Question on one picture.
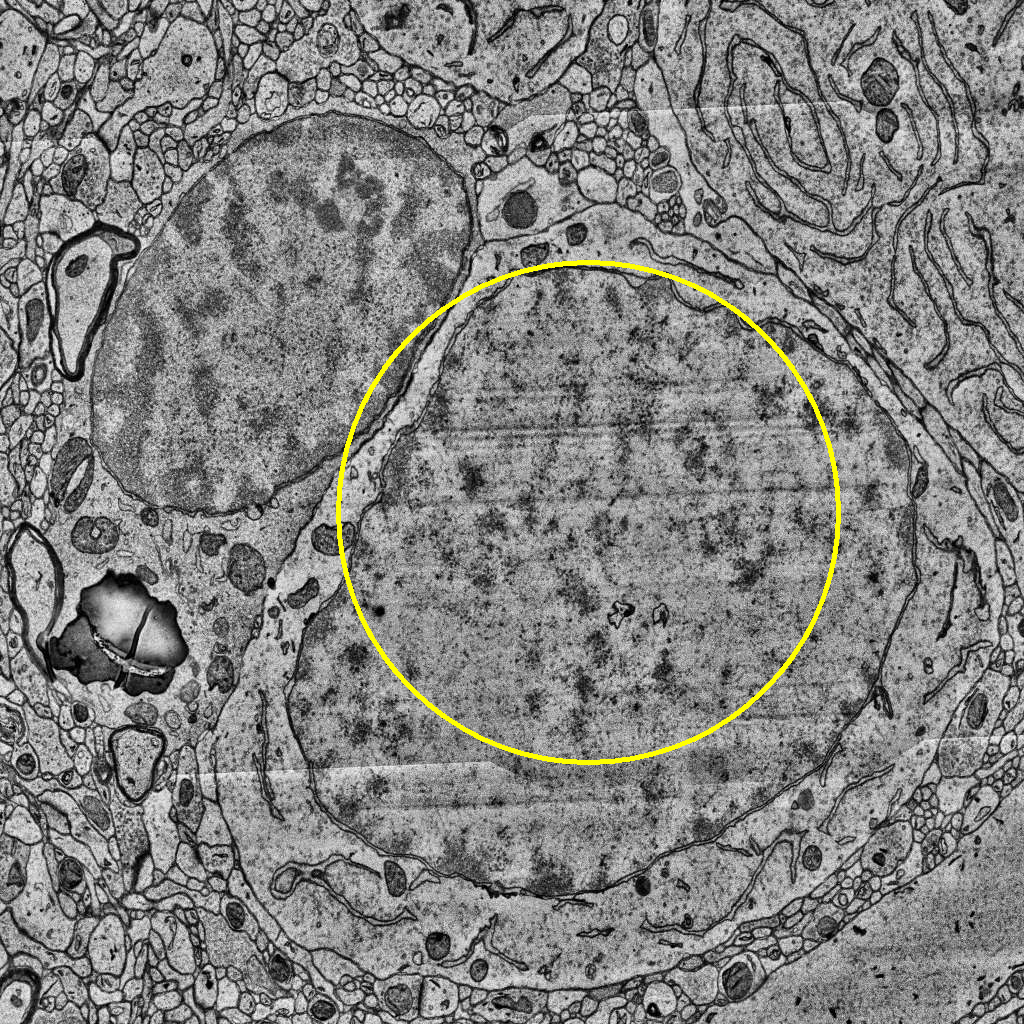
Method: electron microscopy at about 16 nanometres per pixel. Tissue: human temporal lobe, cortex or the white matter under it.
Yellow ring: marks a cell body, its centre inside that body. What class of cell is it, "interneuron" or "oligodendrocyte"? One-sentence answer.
This is an interneuron, the cell at the ring's centre.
